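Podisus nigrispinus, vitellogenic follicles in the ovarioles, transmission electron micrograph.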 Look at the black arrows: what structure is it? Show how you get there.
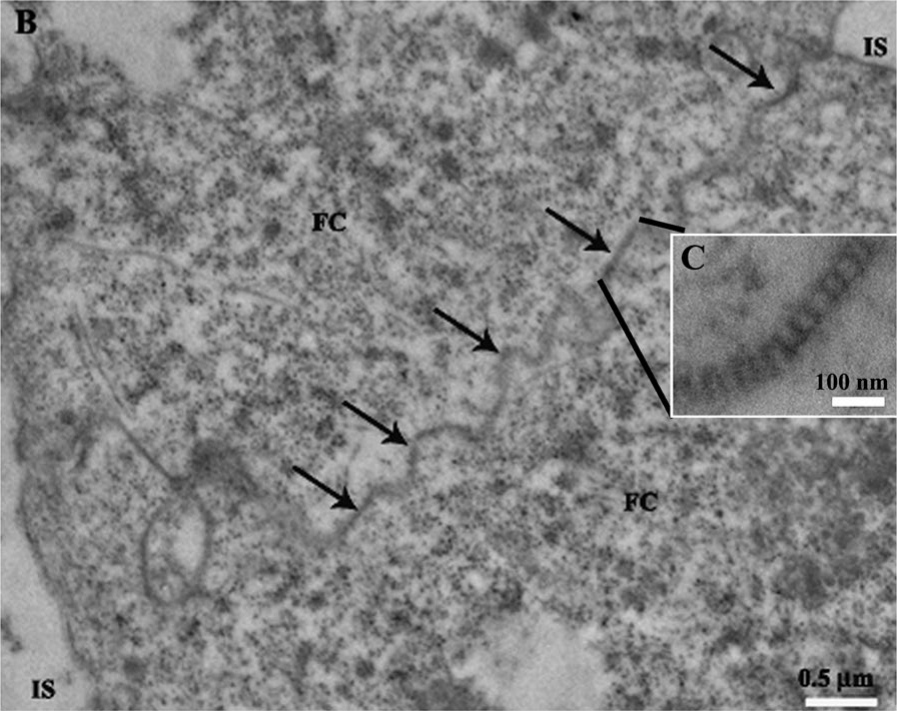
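Occluding junctions. The arrows lie on a thin, dark, winding line where two cells meet. Along that line the two membranes lie very close together with almost no space between them. The enlarged inset shows the contact line with a regular, ladder-like dark pattern.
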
